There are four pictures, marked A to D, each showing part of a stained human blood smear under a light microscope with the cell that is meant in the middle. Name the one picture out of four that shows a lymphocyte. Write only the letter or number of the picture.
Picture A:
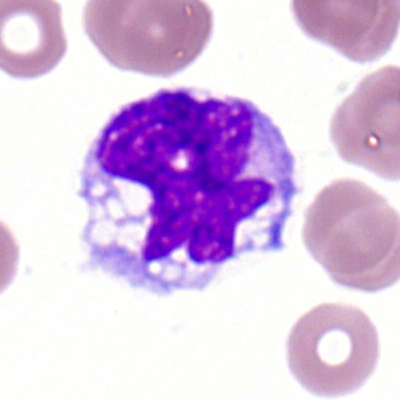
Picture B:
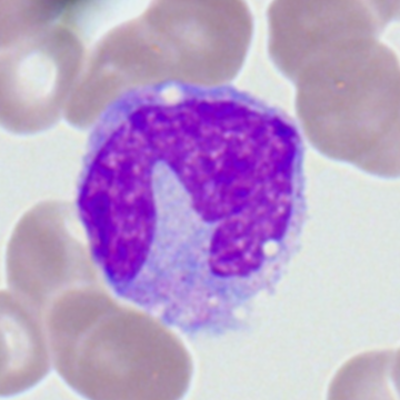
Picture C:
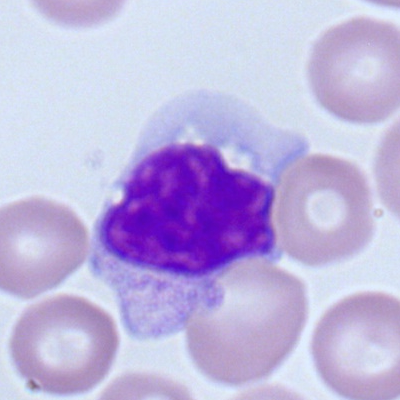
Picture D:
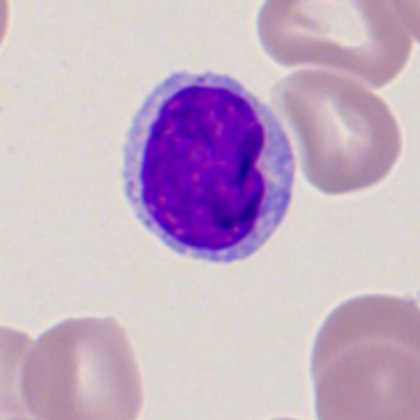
D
